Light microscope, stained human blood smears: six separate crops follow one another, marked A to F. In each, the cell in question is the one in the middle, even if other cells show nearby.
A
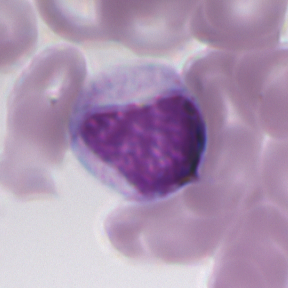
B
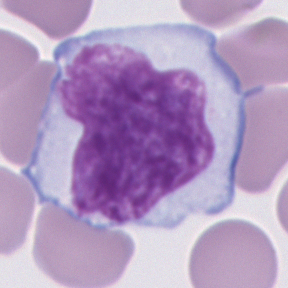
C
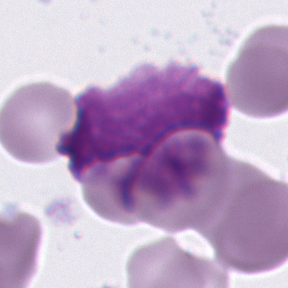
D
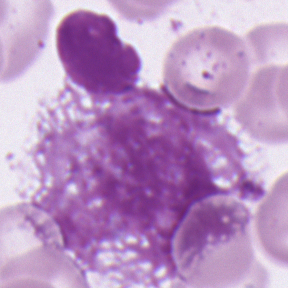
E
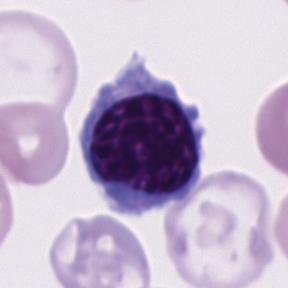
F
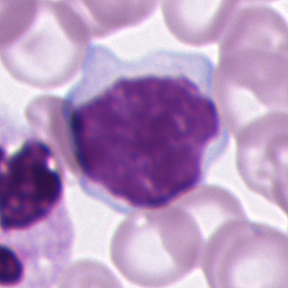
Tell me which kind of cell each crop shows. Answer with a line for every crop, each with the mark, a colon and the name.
A: metamyelocyte
B: myeloblast
C: smudge cell
D: smudge cell
E: normoblast
F: typical lymphocyte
